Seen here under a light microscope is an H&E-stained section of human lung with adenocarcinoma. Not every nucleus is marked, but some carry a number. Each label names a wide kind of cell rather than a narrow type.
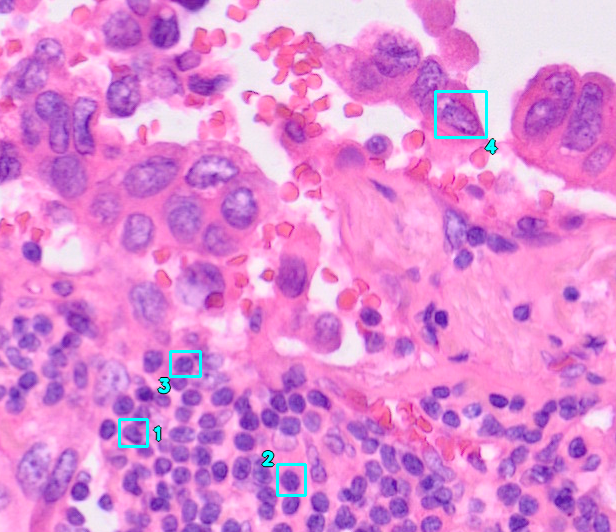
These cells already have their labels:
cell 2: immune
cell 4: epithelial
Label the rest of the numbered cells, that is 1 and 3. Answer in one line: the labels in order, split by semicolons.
immune; immune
